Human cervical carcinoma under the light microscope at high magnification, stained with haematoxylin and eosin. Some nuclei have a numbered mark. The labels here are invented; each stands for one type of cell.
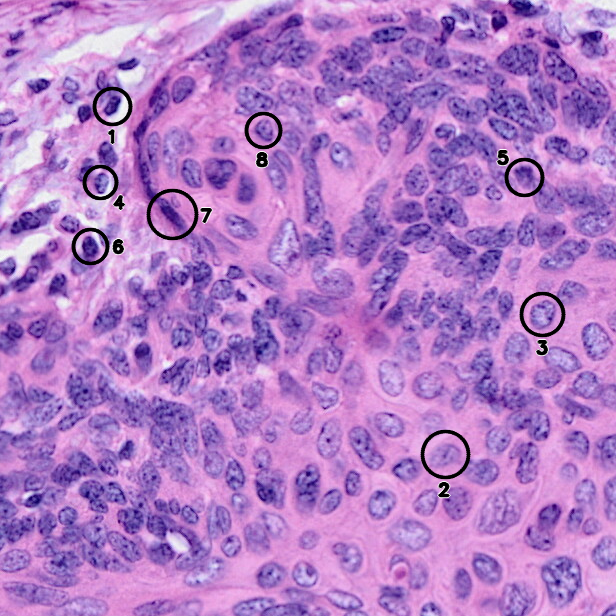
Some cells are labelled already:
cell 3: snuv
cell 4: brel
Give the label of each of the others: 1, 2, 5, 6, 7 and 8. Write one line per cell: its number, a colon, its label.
1: brel
2: snuv
5: snuv
6: brel
7: snuv
8: snuv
